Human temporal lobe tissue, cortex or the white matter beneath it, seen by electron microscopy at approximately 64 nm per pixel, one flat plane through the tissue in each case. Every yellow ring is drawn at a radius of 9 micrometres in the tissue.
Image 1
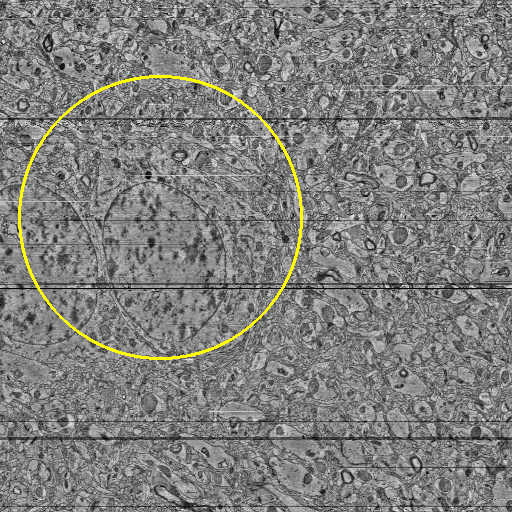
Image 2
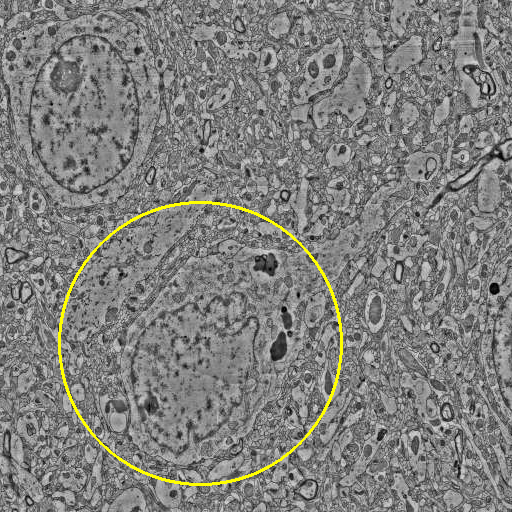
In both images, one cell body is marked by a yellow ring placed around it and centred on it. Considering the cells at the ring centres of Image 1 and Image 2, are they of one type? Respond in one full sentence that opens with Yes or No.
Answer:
No, two types apply to the ring-centred cells of Image 1 and Image 2.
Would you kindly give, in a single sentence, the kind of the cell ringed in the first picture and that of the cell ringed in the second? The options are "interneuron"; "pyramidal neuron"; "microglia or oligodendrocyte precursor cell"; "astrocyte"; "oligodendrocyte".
The second cell is an interneuron, and the first cell is a pyramidal neuron.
